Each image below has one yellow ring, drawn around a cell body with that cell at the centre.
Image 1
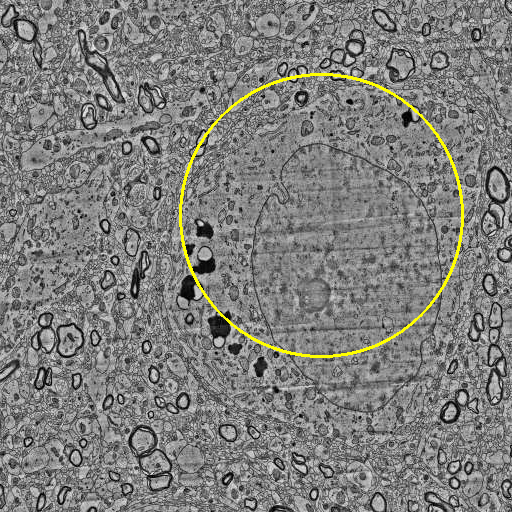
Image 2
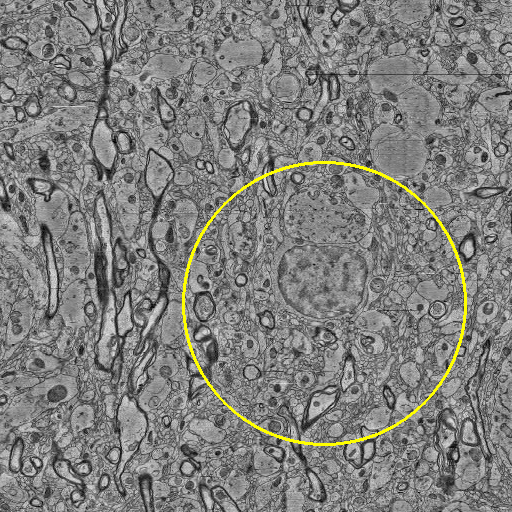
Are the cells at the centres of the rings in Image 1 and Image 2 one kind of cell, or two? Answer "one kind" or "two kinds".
two kinds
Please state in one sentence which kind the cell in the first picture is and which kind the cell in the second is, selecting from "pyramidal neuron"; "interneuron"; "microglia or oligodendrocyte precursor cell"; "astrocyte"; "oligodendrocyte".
The first ringed cell is a pyramidal neuron, the second ringed cell an oligodendrocyte.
